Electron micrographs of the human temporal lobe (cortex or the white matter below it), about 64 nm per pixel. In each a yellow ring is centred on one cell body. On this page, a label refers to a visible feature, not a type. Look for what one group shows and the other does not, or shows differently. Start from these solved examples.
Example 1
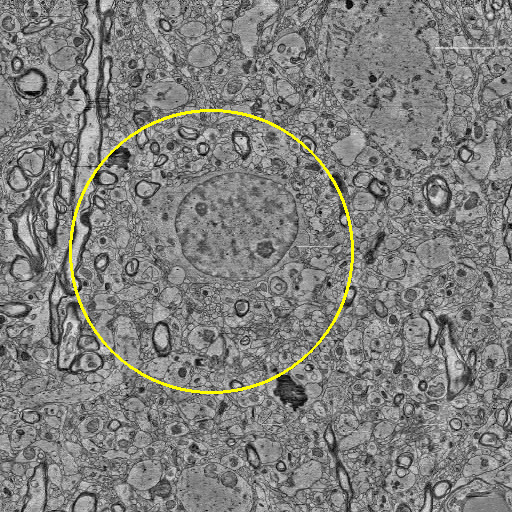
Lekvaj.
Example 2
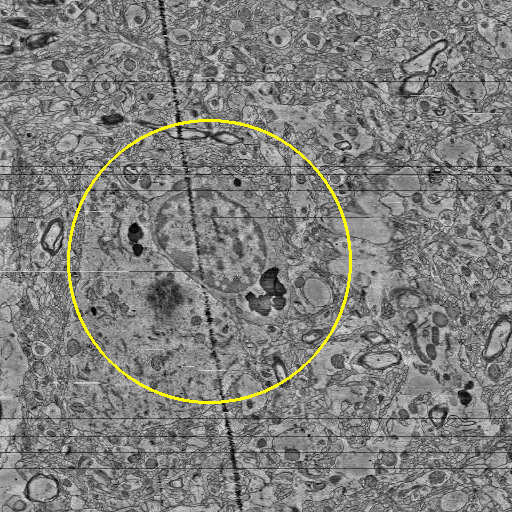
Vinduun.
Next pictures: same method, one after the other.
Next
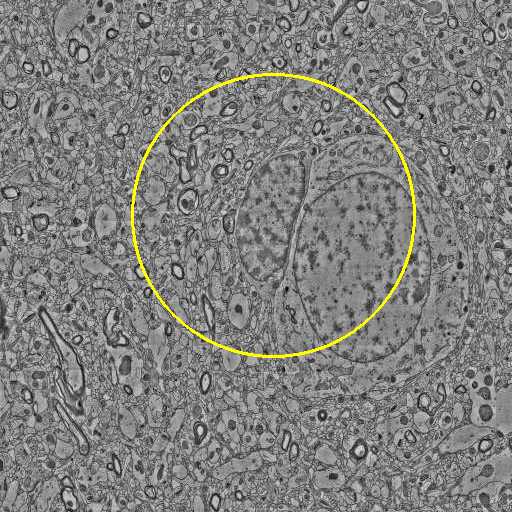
Vinduun.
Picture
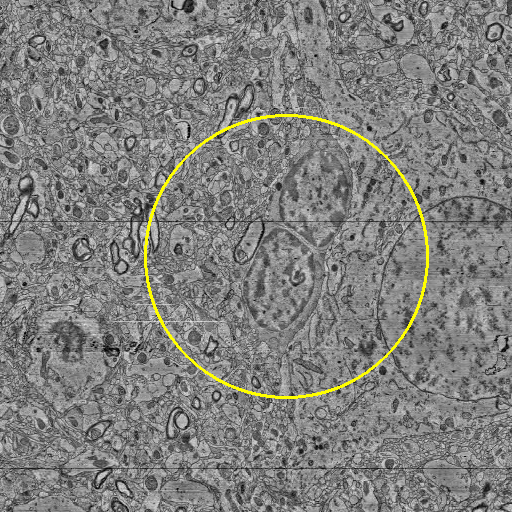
Vinduun.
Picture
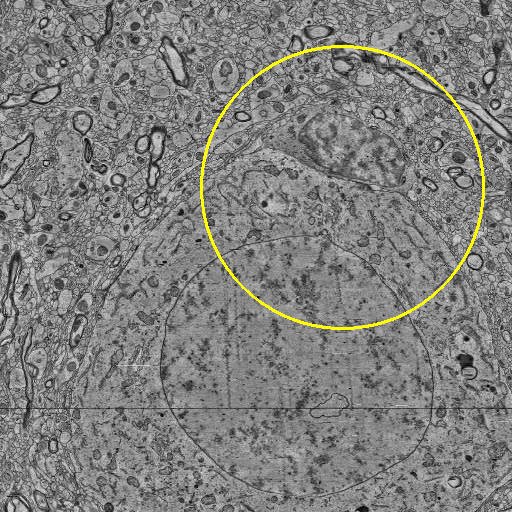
Vinduun.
